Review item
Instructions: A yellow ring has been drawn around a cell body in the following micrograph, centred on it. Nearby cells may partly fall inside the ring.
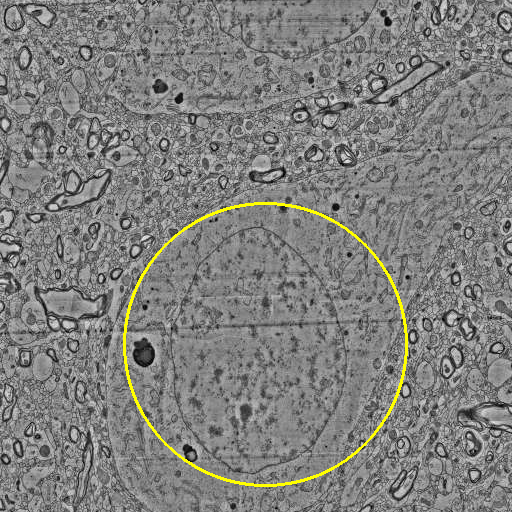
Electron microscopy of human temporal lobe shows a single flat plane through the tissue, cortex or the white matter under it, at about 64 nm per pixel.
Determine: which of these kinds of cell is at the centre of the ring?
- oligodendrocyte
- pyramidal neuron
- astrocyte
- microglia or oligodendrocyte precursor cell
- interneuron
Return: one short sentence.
The cell body in the middle of the ring is that of a pyramidal neuron.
